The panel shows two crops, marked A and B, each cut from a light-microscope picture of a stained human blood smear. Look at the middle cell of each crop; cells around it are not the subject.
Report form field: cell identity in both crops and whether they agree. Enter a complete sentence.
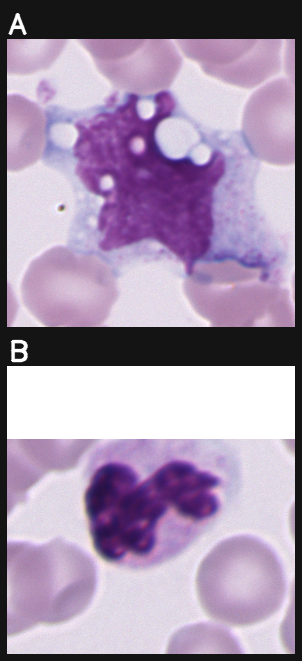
No, crop A is where a monocyte is, and crop B is where a segmented neutrophil is.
